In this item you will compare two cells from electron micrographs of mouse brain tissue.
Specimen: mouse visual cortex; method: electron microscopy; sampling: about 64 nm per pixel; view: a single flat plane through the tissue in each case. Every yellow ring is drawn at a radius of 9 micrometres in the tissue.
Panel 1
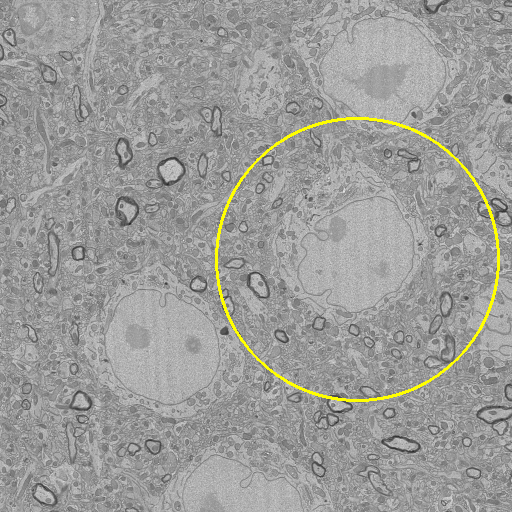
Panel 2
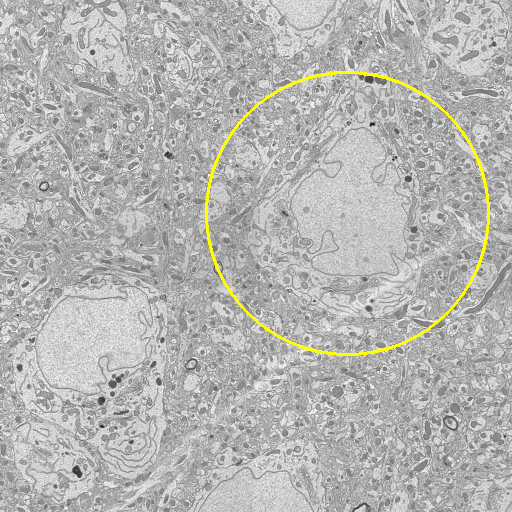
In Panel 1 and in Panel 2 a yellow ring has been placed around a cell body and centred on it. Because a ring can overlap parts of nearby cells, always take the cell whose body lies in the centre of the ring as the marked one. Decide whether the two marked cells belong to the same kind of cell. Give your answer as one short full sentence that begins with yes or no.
No, the two marked cells belong to two kinds of cell.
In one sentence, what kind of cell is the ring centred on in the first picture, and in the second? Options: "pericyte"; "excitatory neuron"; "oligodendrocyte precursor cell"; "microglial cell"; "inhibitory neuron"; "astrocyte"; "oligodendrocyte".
The cell at the centre of the second ring is an inhibitory neuron; the first ring's cell is an excitatory neuron.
